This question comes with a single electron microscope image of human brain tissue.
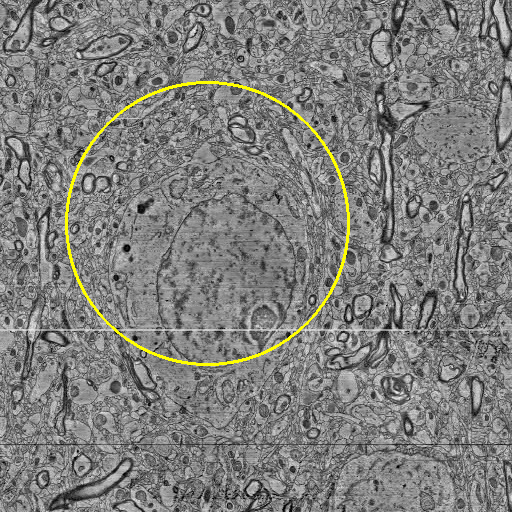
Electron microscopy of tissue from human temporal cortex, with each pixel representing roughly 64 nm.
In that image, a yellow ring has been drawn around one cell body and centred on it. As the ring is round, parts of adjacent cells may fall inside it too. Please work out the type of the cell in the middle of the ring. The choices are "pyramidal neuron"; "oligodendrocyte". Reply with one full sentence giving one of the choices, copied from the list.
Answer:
Of the choices, a pyramidal neuron is the cell sitting in the middle of the ring.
